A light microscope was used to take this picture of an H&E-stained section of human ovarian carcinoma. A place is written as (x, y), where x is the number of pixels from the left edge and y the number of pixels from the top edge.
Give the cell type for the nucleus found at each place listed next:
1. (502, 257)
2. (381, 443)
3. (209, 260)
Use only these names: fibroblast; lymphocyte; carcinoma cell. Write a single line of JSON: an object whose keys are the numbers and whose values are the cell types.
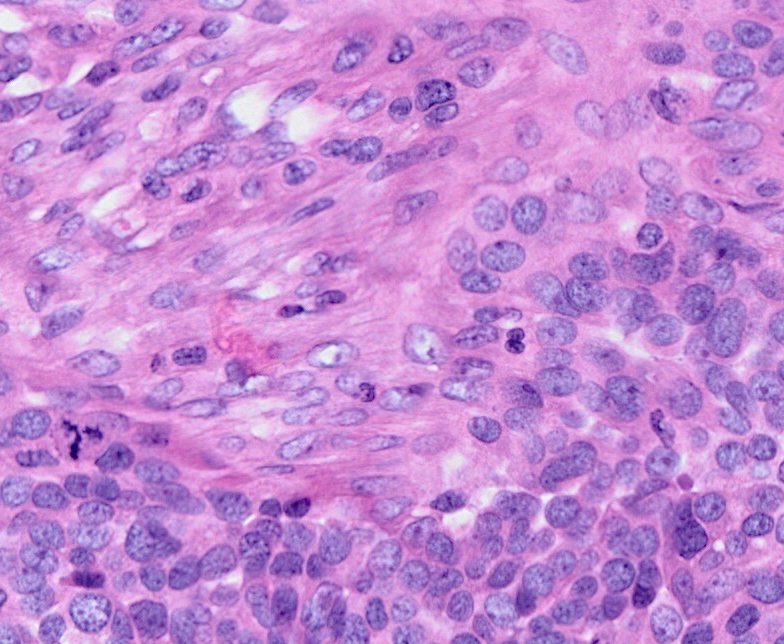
{"1": "carcinoma cell", "2": "fibroblast", "3": "fibroblast"}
